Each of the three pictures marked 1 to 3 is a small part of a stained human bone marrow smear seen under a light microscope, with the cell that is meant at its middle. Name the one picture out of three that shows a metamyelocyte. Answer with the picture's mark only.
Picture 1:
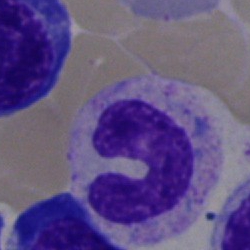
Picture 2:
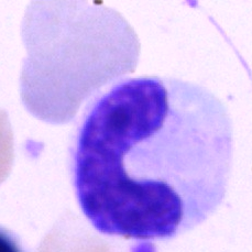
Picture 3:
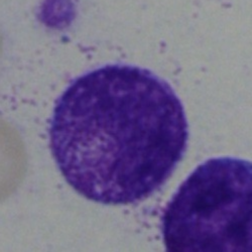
3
